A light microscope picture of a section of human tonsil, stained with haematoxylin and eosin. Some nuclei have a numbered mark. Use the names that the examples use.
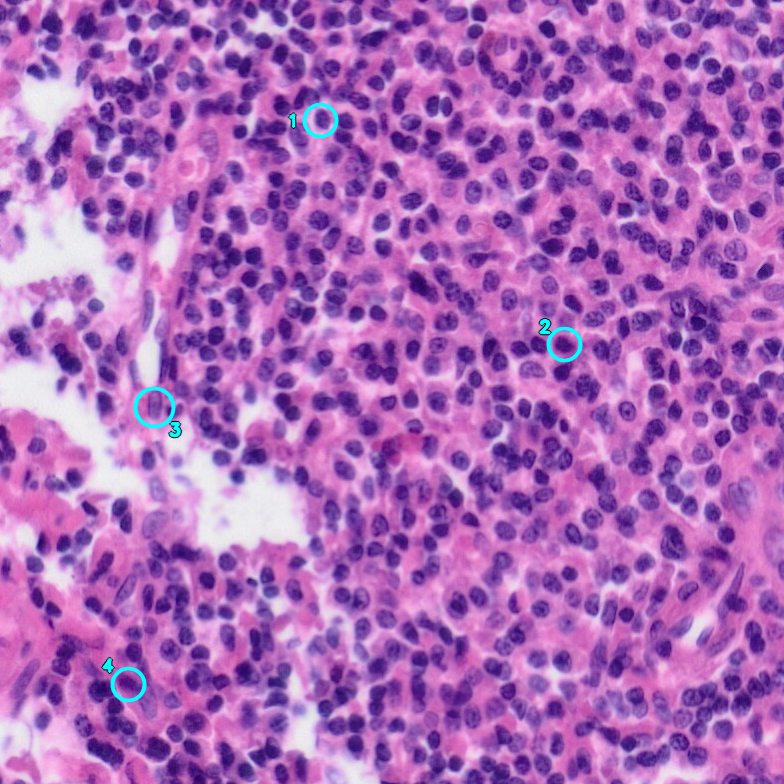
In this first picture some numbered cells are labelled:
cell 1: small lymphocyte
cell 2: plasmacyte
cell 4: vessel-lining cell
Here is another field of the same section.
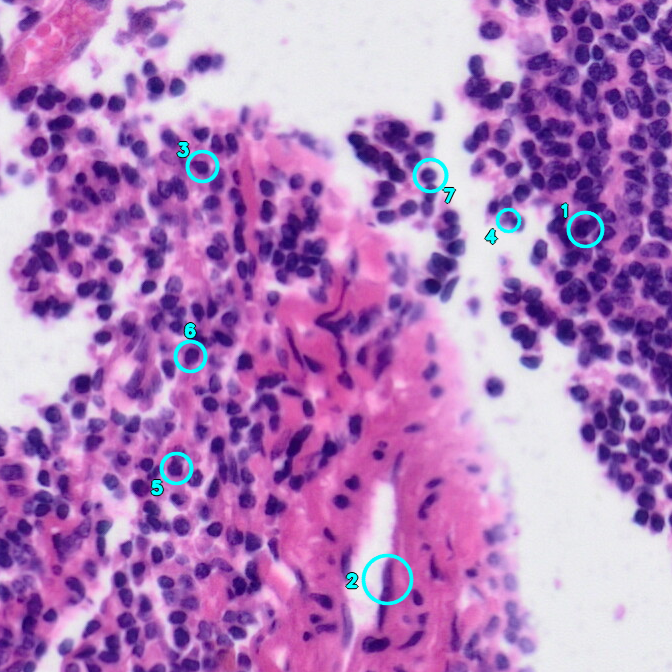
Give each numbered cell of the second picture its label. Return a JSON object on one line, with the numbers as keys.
{"1": "small lymphocyte", "2": "vessel-lining cell", "3": "plasmacyte", "4": "small lymphocyte", "5": "plasmacyte", "6": "plasmacyte", "7": "small lymphocyte"}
